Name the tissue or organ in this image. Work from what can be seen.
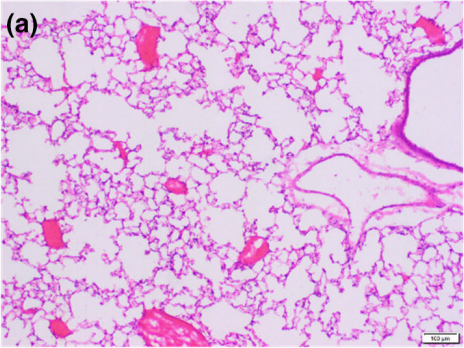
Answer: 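Lung parenchyma. Many thin-walled, open air spaces separated by delicate pink septa. Scattered small nuclei along the thin walls. Vessels filled with pink material and a larger airway-like wall at the right.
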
